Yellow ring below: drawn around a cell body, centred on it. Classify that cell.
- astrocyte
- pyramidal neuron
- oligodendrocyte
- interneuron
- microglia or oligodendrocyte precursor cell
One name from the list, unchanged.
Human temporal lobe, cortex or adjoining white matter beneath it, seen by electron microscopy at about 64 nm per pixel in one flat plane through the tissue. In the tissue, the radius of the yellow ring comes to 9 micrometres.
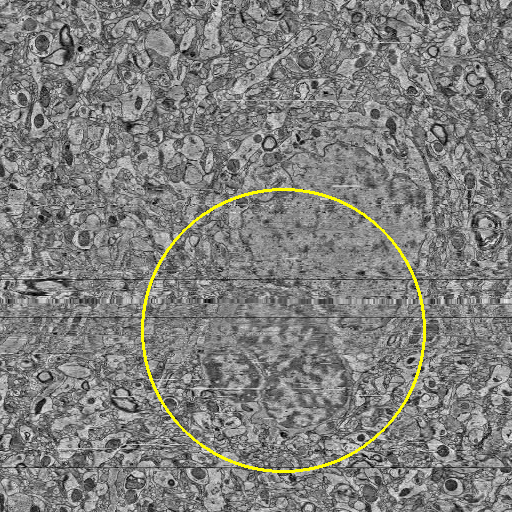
oligodendrocyte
